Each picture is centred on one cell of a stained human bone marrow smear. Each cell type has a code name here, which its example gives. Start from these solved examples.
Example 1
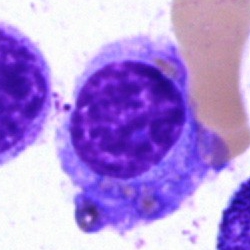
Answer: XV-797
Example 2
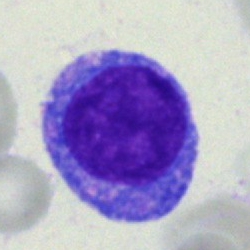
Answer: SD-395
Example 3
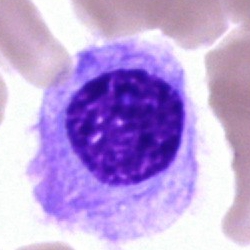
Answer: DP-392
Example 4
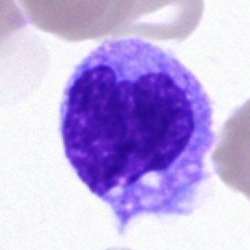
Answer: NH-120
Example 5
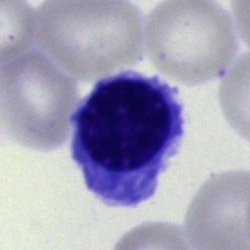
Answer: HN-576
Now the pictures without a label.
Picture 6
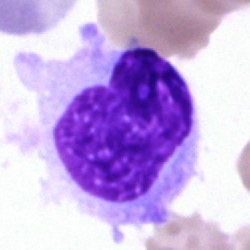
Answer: DP-392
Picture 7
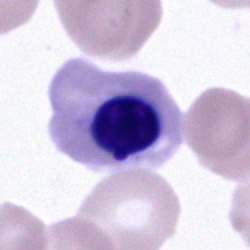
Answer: HN-576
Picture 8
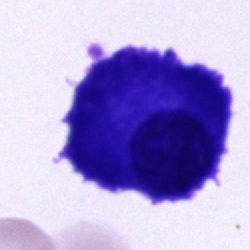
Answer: XV-797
